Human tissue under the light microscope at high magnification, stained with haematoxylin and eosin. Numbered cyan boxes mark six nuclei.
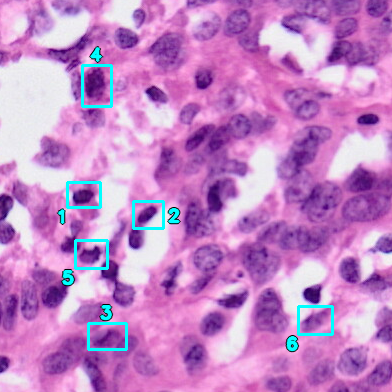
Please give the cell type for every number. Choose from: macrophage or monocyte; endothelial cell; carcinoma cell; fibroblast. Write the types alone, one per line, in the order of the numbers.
macrophage or monocyte
carcinoma cell
carcinoma cell
macrophage or monocyte
carcinoma cell
carcinoma cell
